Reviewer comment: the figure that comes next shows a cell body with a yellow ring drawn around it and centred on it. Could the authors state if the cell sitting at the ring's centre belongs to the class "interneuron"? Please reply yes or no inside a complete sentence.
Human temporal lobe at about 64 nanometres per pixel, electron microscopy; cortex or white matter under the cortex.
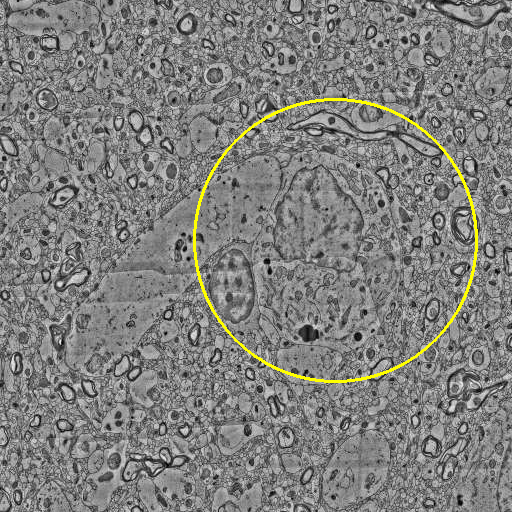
Yes, in the figure, the cell at the ring's centre belongs to that class.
